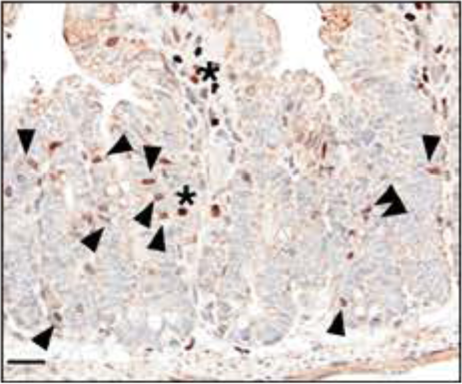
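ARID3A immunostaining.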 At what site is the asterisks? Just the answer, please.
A: Stromal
